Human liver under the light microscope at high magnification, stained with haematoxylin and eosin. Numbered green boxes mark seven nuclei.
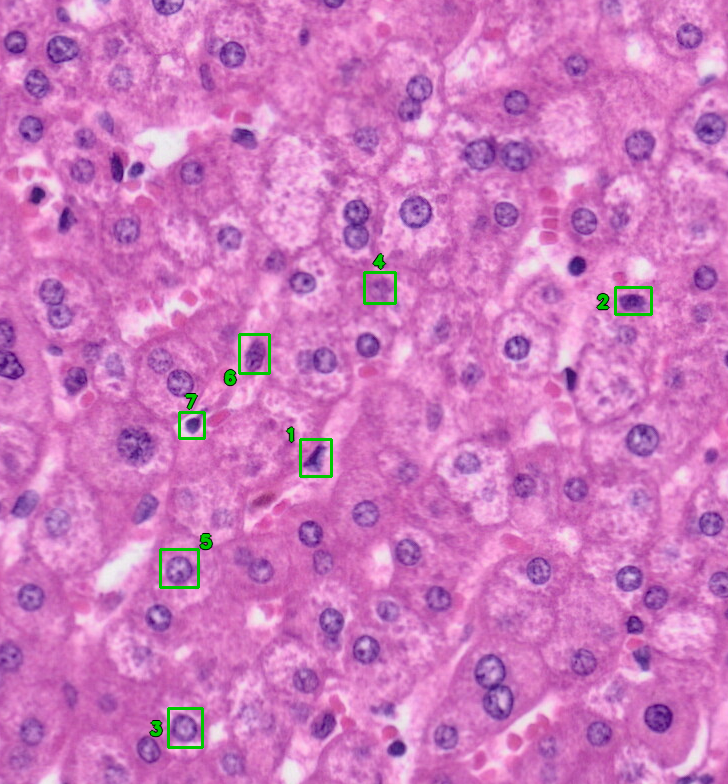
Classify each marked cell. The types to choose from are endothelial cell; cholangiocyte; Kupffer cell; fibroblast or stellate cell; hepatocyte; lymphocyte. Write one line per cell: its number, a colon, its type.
1: endothelial cell
2: fibroblast or stellate cell
3: hepatocyte
4: hepatocyte
5: hepatocyte
6: Kupffer cell
7: lymphocyte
